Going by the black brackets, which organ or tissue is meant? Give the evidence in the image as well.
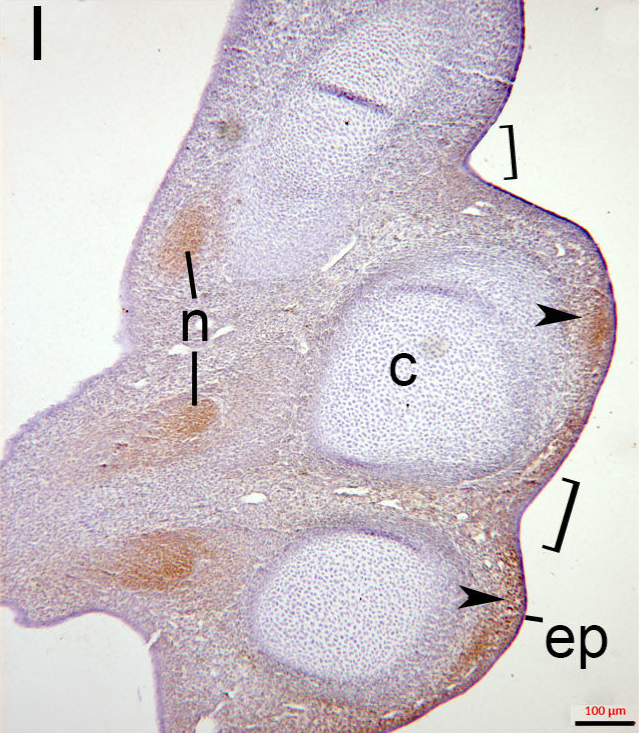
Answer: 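Interdigital skin. The brackets lie along the surface between two digit tips. Each bracket sits in a notch between bulging regions that contain rounded cartilage.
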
